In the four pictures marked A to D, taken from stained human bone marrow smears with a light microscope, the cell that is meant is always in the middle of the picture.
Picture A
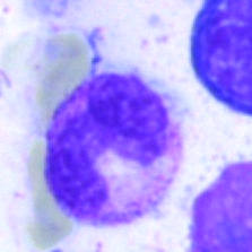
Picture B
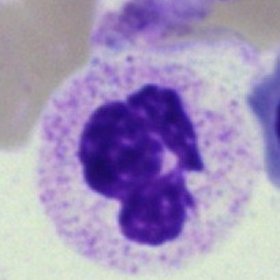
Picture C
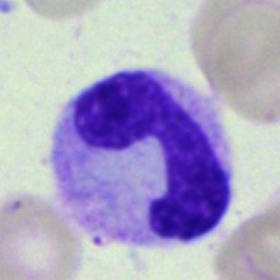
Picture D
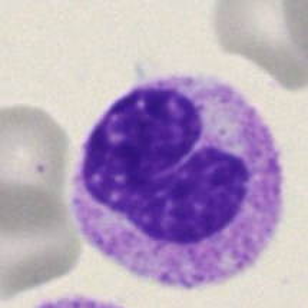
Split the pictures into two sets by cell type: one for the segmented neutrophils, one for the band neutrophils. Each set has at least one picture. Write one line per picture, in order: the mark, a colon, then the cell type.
A: band neutrophil
B: segmented neutrophil
C: band neutrophil
D: band neutrophil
